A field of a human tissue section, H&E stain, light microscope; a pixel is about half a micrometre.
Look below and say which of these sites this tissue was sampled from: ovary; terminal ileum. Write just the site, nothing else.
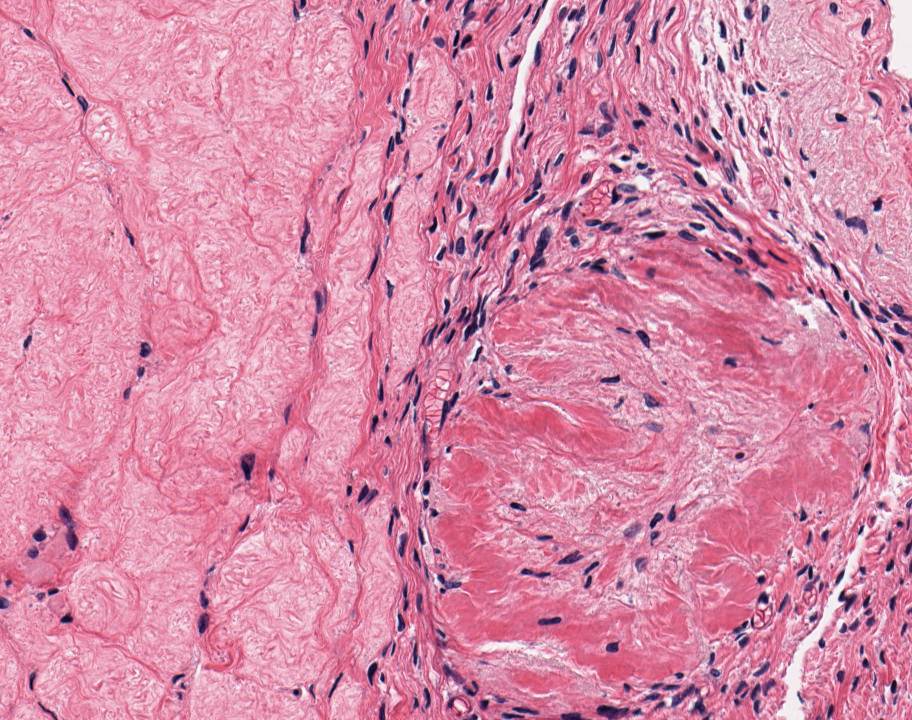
ovary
